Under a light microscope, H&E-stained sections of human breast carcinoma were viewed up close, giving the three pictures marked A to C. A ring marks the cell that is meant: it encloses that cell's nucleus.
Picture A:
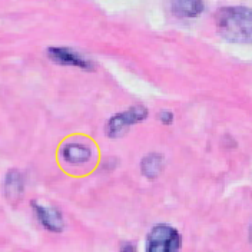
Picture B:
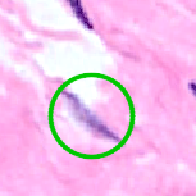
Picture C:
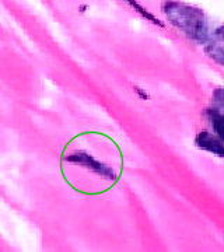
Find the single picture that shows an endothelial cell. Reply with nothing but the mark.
A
